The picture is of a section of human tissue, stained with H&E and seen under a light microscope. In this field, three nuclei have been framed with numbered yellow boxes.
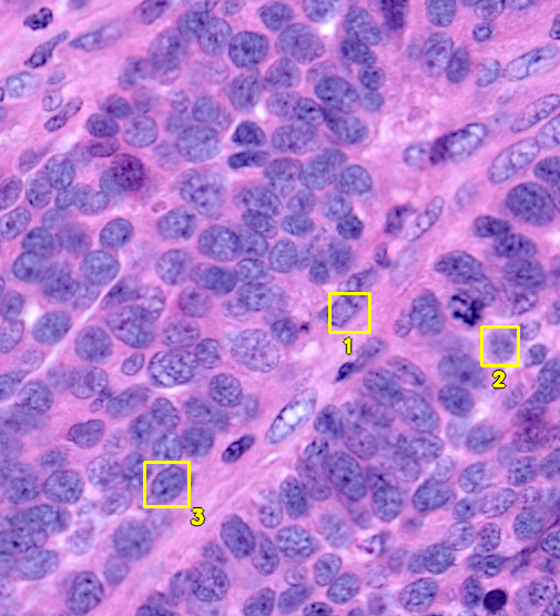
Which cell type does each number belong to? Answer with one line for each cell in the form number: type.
1: fibroblast
2: carcinoma cell
3: carcinoma cell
